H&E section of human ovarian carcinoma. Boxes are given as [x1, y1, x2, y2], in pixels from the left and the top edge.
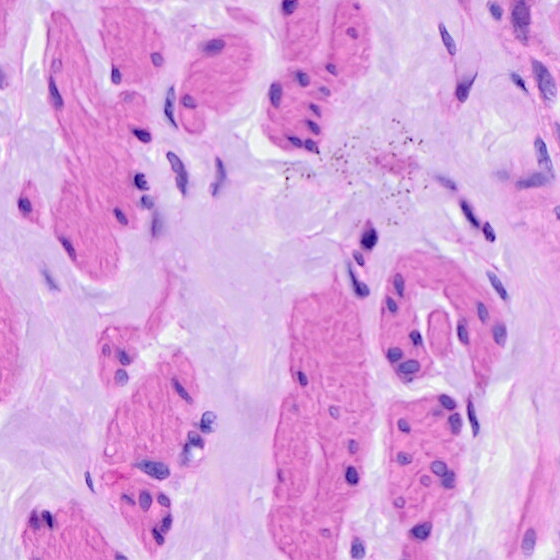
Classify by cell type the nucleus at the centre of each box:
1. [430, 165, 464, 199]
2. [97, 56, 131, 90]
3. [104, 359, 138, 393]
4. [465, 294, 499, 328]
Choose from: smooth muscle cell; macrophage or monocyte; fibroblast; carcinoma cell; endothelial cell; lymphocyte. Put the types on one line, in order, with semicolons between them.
fibroblast; smooth muscle cell; smooth muscle cell; smooth muscle cell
